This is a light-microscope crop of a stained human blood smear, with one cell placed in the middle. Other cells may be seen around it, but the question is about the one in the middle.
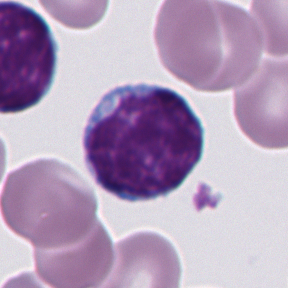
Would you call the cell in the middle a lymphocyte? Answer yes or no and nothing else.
yes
